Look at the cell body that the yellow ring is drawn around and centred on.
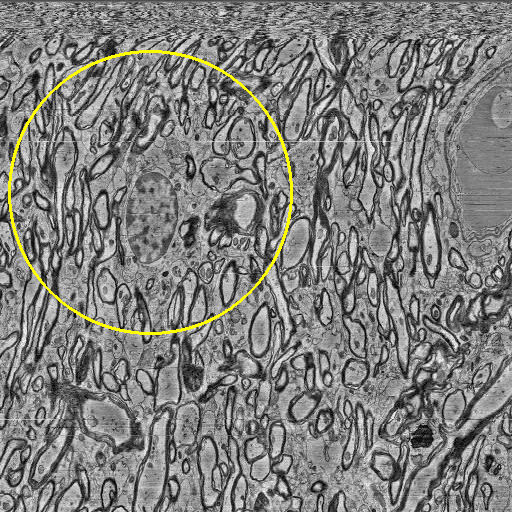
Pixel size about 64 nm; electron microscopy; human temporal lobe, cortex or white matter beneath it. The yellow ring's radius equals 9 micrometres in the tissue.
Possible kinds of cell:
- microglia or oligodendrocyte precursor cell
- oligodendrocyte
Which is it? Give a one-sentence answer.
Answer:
The centred cell body is that of a microglial cell or oligodendrocyte precursor cell.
